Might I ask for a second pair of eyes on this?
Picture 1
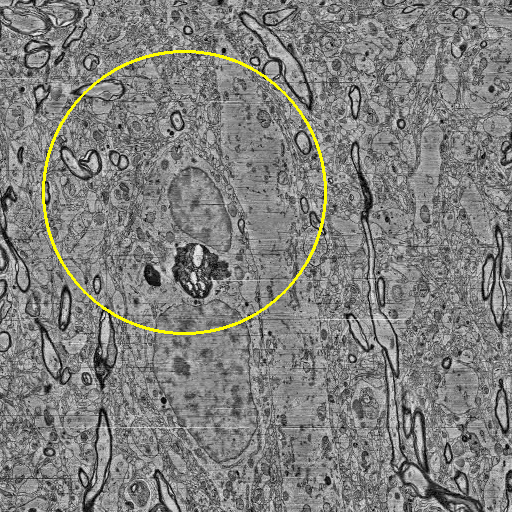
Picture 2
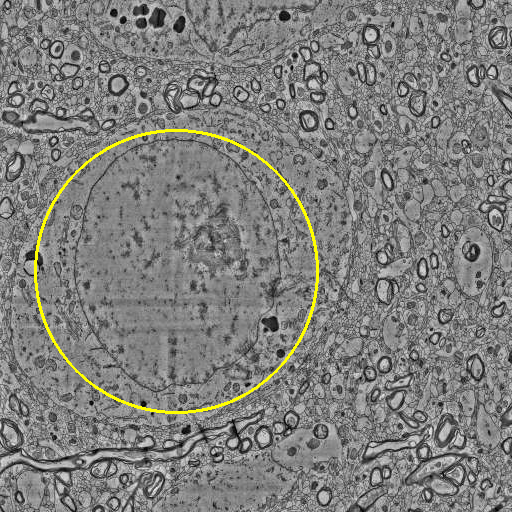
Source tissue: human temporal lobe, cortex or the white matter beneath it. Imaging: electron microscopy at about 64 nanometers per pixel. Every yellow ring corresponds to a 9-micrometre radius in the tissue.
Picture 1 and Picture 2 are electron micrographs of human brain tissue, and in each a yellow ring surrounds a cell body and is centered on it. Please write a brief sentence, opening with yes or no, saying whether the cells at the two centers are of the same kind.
No, the cells are of two kinds.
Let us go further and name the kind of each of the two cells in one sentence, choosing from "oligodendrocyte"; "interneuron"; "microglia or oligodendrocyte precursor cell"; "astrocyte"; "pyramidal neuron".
The ring of the first picture is on an oligodendrocyte, the ring of the second on a pyramidal neuron.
